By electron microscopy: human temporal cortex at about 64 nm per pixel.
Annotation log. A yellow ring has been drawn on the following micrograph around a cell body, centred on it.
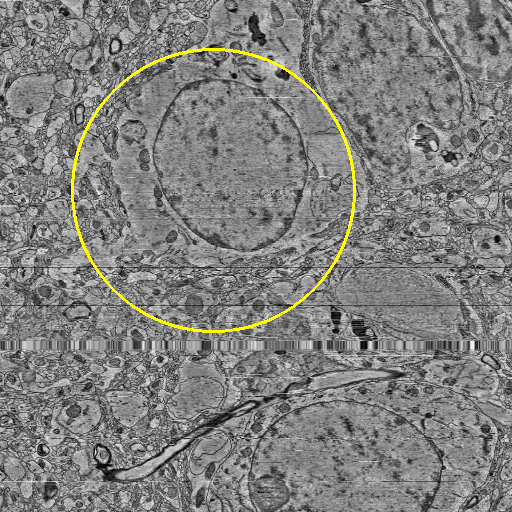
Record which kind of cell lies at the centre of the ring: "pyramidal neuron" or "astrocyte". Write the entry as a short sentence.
The cell the ring is centred on is an astrocyte.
